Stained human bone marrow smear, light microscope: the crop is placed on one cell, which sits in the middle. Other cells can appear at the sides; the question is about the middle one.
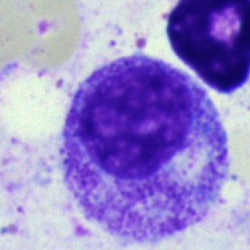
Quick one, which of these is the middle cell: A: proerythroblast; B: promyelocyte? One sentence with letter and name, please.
Option B gives the correct identity of the central cell, namely a promyelocyte.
